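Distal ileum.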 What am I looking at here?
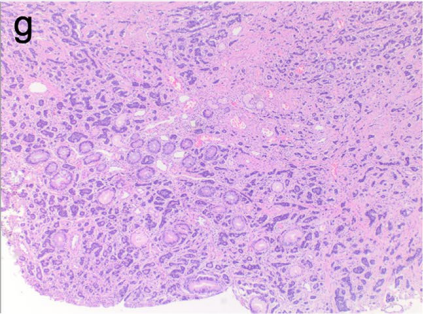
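Low-power view of bowel wall infiltrated by a well-differentiated neuroendocrine tumor. Numerous small nests, cords and gland-like structures of uniform purple cells lie within a pink fibrous stroma, occupying most of the field. Scattered round glandular profiles with small lumina are visible among the nests.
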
